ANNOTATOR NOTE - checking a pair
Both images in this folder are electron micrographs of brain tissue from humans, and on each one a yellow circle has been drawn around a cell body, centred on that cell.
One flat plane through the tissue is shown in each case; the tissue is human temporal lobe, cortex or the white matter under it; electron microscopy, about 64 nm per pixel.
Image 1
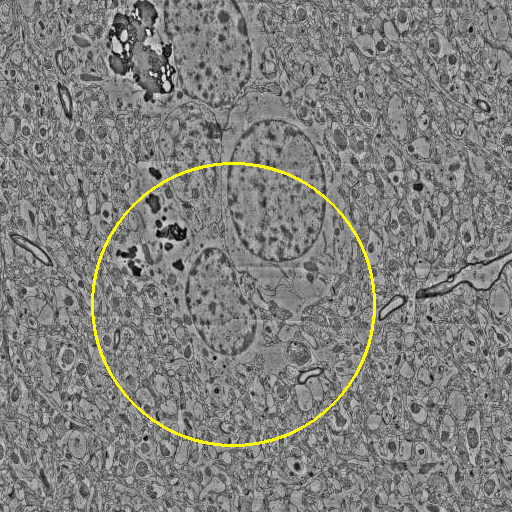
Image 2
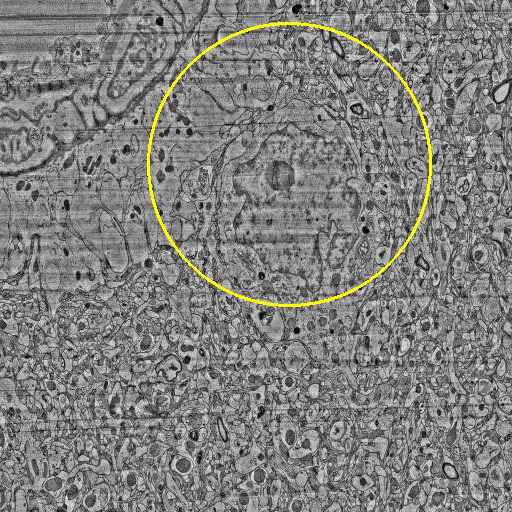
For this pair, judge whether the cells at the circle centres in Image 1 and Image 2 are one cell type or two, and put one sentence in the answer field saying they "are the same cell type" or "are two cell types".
For this pair, the cells at the circle centres in Images 1 and 2 are two cell types.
